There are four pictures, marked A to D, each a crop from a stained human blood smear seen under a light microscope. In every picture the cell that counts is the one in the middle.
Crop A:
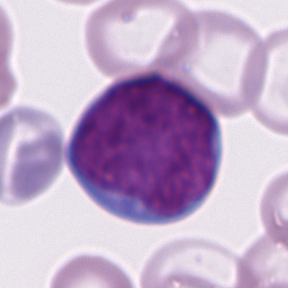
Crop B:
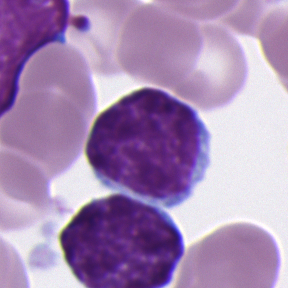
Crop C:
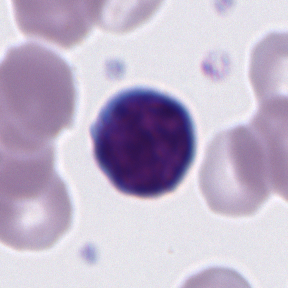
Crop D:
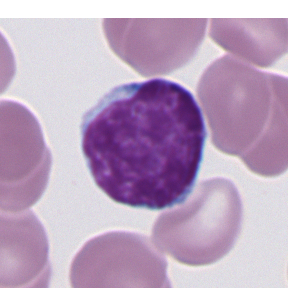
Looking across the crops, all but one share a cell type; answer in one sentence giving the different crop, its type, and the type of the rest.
Crop A differs from the others in showing a blast; the rest all show lymphocytes.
